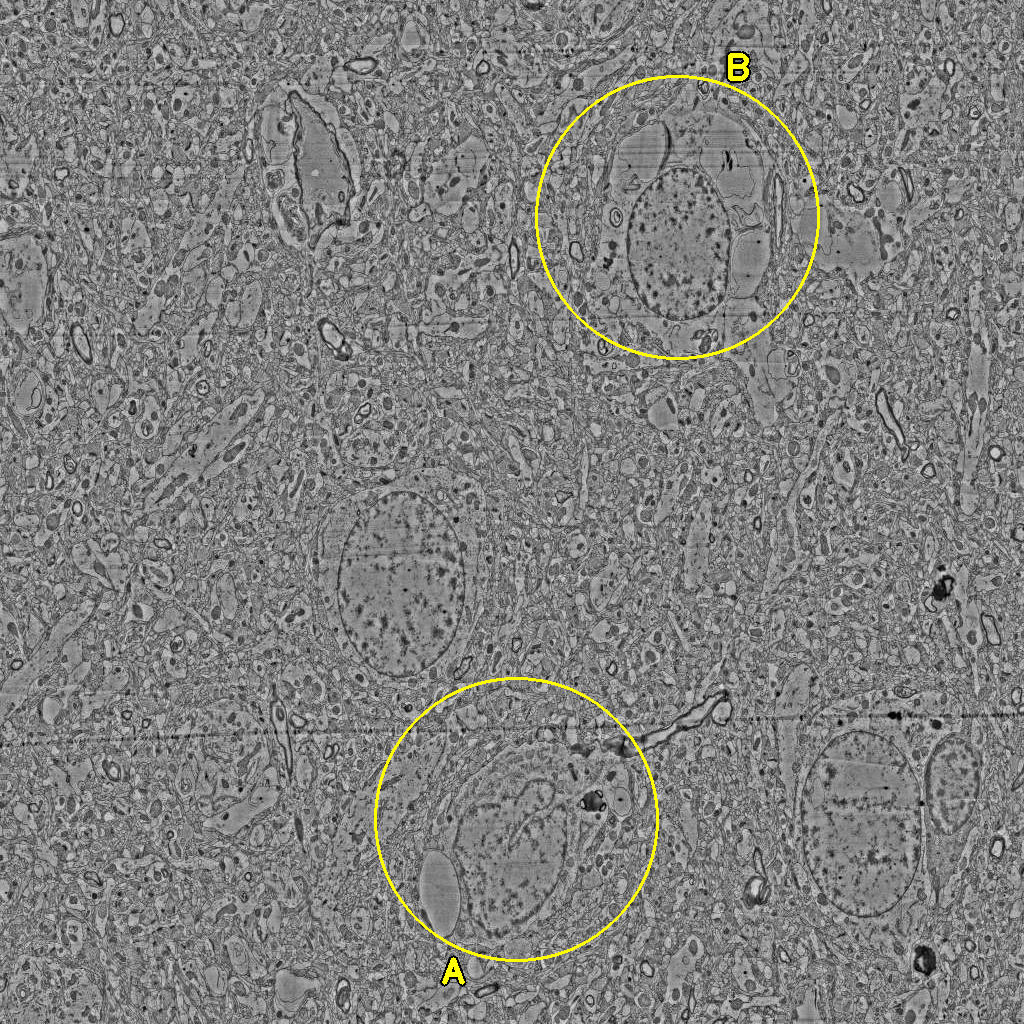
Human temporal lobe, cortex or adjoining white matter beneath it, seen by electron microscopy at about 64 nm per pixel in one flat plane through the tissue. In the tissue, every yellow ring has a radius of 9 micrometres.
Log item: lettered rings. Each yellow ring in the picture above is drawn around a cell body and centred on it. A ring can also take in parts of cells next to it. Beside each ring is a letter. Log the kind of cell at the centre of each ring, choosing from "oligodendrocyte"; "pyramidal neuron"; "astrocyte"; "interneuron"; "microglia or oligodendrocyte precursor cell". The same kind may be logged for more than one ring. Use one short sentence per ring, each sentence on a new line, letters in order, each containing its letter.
Within ring A, the centre is taken by an interneuron.
Within ring B, the centre is taken by an astrocyte.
